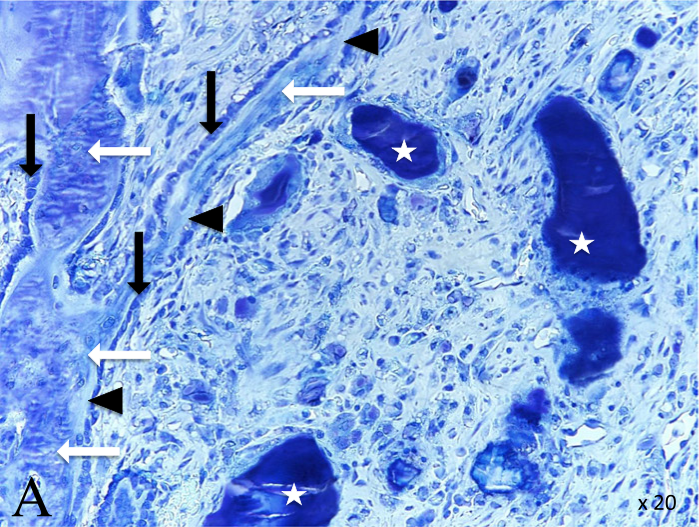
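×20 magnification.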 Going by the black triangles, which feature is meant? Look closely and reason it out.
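Osteoid. The black triangles point to a thin seam at the edge of the matrix band, between it and the cellular tissue.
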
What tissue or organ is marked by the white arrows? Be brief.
Bone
